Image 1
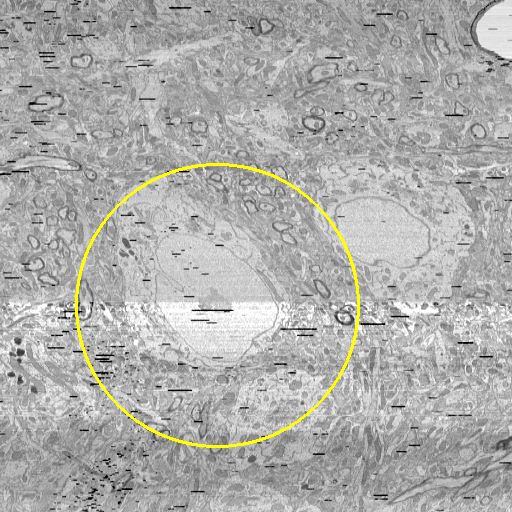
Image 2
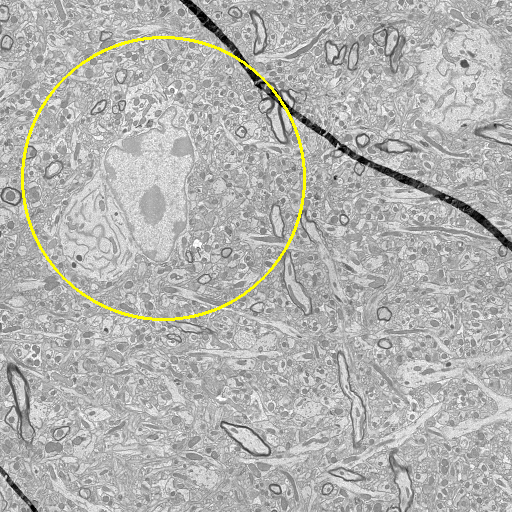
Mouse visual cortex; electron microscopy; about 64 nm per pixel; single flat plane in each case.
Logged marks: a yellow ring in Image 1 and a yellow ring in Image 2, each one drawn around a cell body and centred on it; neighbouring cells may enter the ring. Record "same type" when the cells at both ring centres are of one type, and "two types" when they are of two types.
two types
